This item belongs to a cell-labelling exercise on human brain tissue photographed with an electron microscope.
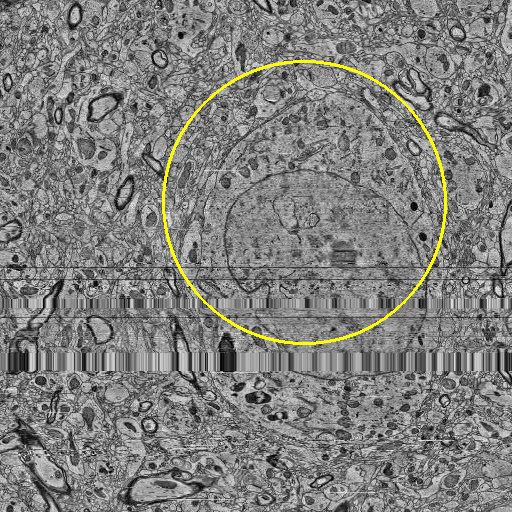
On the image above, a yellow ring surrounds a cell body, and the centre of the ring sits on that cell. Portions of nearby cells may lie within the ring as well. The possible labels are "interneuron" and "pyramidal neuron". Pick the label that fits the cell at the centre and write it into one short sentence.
This cell should be labelled as a pyramidal neuron.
